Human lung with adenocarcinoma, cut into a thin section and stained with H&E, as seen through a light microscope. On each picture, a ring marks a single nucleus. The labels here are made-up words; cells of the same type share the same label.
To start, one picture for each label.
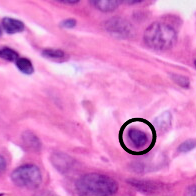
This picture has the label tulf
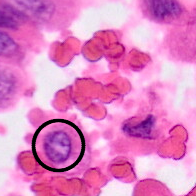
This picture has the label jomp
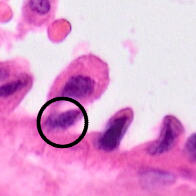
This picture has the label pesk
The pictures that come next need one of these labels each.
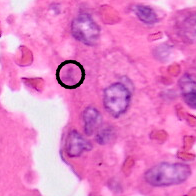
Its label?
jomp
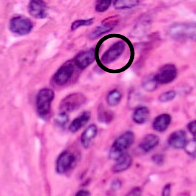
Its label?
tulf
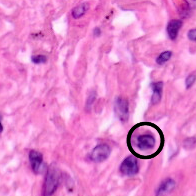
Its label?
tulf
